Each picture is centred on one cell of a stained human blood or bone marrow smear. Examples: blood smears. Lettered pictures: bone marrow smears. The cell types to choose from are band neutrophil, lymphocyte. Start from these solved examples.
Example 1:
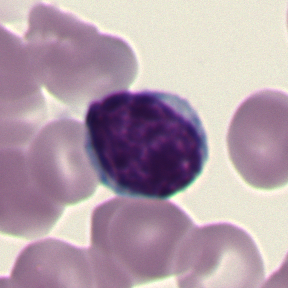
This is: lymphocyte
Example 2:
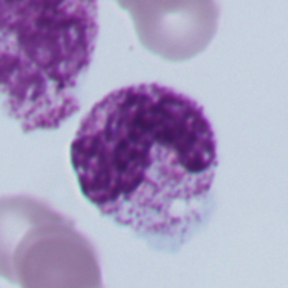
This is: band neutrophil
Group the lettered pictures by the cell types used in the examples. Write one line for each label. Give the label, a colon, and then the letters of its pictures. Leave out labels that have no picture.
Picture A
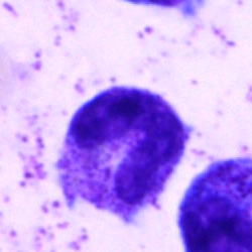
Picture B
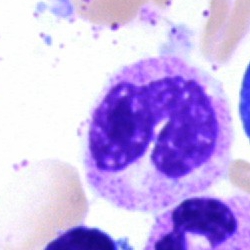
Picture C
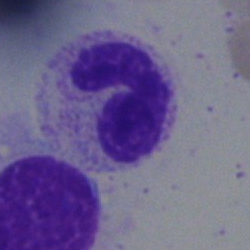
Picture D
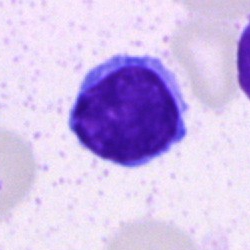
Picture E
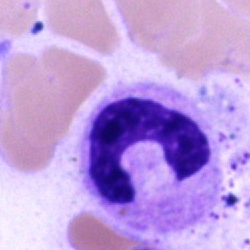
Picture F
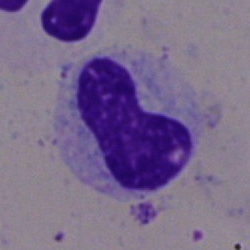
band neutrophil: A, B, C, E, F
lymphocyte: D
